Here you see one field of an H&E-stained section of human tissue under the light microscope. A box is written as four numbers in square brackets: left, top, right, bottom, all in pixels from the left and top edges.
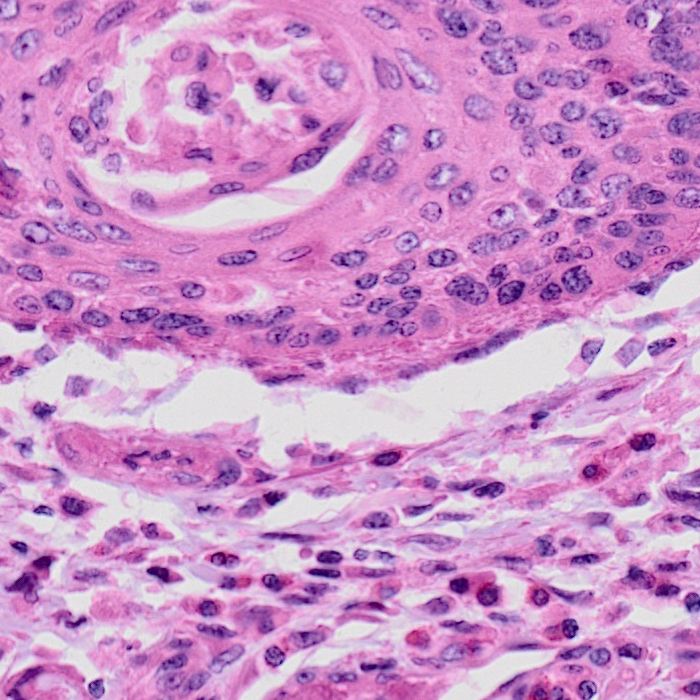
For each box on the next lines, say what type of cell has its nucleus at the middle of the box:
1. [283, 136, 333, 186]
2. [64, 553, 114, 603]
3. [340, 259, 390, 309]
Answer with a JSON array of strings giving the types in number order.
["squamous carcinoma cell", "fibroblast", "squamous carcinoma cell"]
